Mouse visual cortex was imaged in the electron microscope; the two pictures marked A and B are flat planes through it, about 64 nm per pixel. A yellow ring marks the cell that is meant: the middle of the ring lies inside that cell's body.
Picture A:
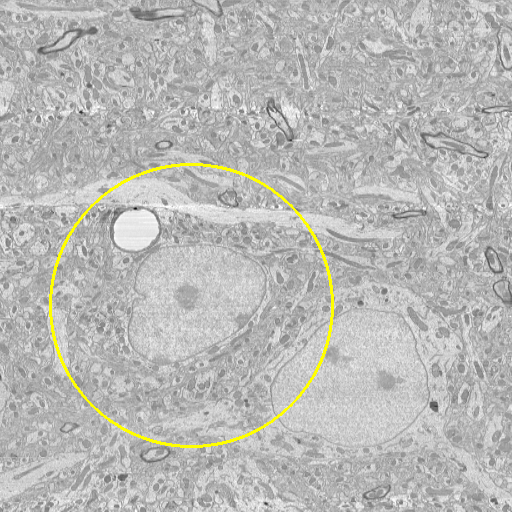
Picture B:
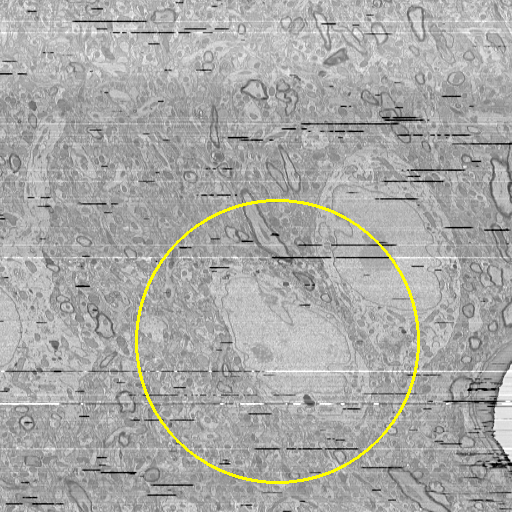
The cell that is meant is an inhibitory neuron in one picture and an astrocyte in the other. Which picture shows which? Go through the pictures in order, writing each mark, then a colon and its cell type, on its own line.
A: astrocyte
B: inhibitory neuron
